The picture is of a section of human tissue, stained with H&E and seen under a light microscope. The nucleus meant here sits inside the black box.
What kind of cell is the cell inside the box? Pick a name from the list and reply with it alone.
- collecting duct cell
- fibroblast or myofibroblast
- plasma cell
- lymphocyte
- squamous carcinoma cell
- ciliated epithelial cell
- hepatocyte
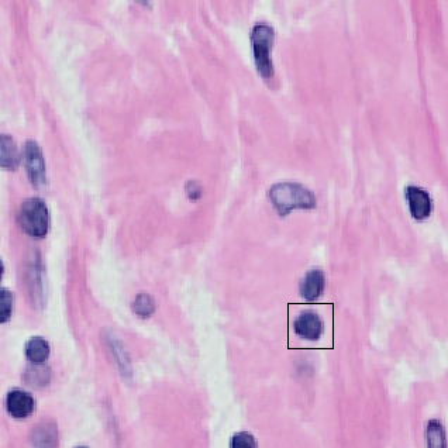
lymphocyte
